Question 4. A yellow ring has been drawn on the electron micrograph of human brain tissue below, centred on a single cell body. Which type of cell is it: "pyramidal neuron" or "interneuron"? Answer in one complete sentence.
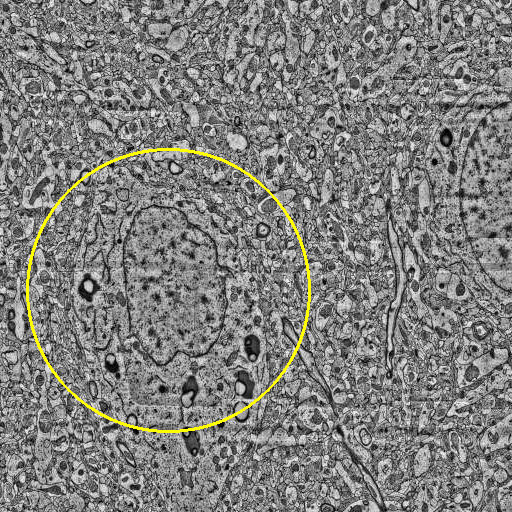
This cell body belongs to a pyramidal neuron.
